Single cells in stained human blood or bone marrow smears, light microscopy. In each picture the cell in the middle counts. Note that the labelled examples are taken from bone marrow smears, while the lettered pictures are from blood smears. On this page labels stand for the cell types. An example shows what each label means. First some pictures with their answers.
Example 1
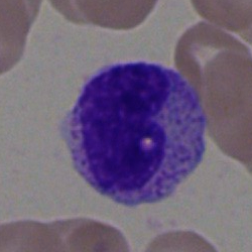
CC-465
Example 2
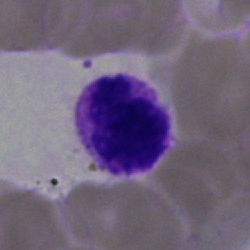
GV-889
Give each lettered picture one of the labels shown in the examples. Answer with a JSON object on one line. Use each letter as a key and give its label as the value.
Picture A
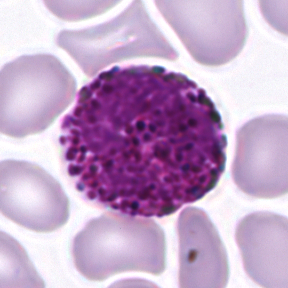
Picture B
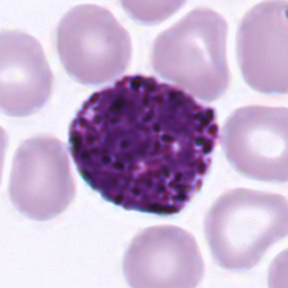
{"A": "GV-889", "B": "GV-889"}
